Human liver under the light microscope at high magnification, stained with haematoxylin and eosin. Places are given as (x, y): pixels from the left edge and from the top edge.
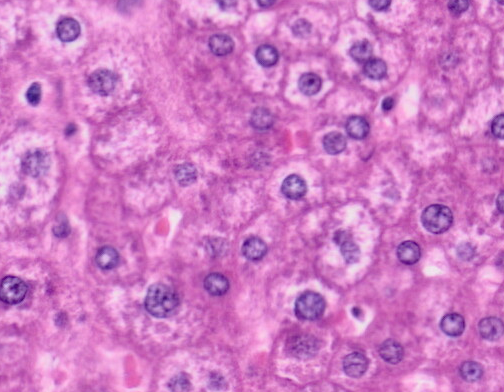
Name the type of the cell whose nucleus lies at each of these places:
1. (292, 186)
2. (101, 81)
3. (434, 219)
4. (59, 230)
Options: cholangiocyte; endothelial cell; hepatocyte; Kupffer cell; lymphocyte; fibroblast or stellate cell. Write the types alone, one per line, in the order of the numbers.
hepatocyte
hepatocyte
hepatocyte
Kupffer cell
